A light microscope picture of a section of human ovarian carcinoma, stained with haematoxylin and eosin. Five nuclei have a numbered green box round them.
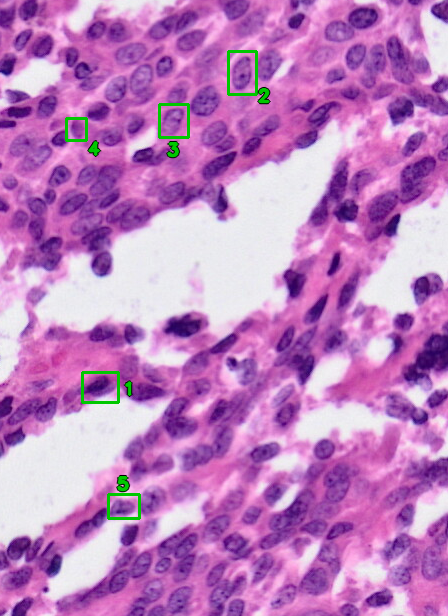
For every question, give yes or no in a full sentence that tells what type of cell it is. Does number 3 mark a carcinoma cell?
Yes, a carcinoma cell is what the cell numbered 3 is.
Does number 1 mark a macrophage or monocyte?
No, with respect, cell 1 is a carcinoma cell rather than a macrophage or monocyte.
